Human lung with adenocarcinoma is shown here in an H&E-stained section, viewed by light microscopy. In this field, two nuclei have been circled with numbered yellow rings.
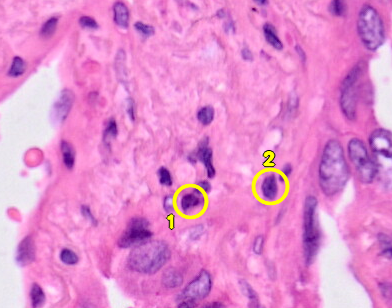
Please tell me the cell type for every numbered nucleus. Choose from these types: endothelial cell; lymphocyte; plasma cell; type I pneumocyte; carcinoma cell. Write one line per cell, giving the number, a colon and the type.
1: plasma cell
2: lymphocyte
